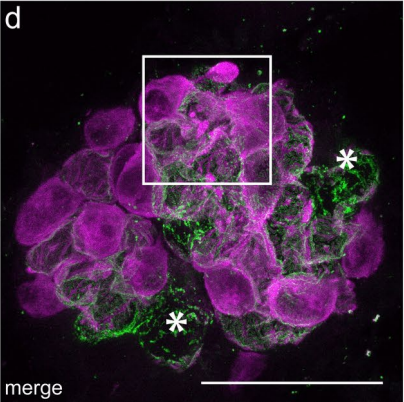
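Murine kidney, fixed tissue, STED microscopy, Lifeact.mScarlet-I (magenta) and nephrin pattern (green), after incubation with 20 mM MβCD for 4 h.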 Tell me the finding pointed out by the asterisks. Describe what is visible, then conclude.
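Elsewhere the surface is covered by rounded magenta cell bodies. The answer: detached podocytes.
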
